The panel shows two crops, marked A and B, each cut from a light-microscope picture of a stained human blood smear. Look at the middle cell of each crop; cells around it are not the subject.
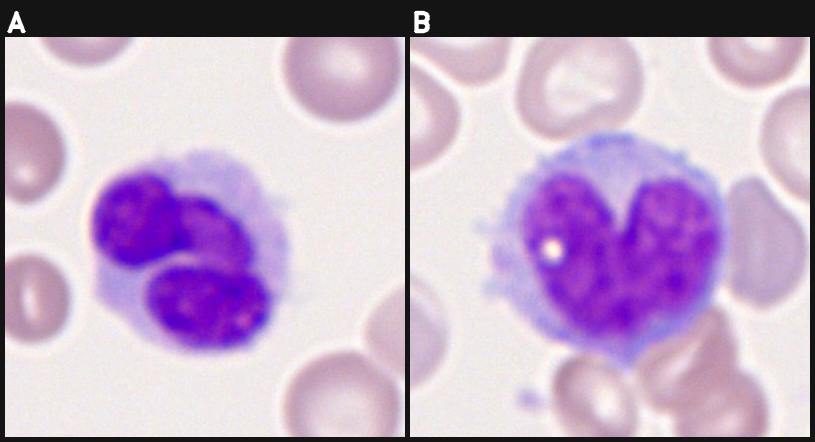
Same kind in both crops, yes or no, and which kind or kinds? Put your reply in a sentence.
Yes, what both crops show at their centres are monocytes.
